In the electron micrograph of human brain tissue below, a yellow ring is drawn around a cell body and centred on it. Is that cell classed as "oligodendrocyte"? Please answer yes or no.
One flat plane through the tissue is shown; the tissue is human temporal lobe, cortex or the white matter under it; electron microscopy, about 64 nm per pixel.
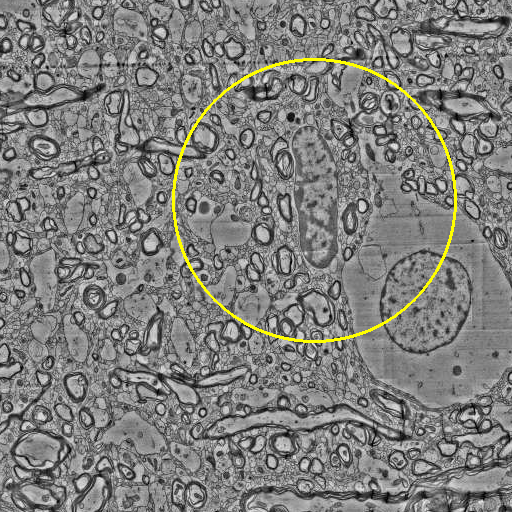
no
